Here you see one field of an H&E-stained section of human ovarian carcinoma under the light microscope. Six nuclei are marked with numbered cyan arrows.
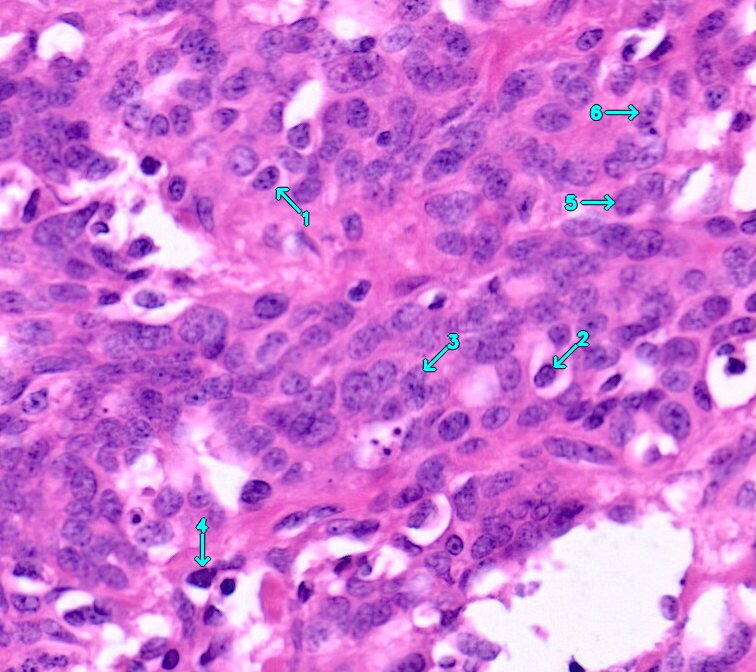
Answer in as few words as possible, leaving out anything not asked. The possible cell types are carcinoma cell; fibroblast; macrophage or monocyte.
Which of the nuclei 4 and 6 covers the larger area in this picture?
6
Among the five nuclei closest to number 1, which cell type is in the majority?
carcinoma cell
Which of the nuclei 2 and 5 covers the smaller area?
2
